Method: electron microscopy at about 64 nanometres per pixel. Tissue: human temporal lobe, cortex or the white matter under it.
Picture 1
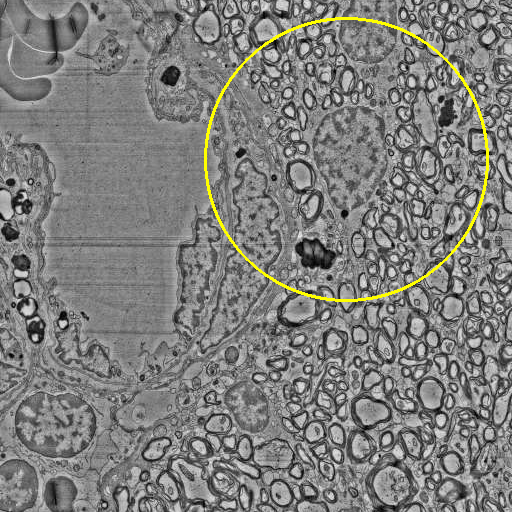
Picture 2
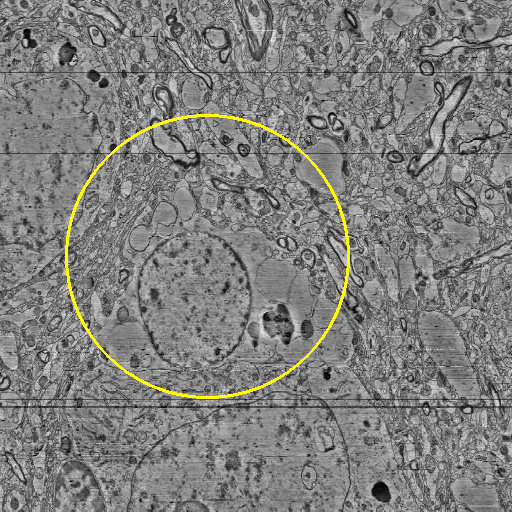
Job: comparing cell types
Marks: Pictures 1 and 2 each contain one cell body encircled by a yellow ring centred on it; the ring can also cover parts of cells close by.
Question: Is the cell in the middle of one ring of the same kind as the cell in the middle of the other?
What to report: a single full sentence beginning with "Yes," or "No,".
No, the cell at the ring centre in Picture 1 and its partner in Picture 2 are of two kinds.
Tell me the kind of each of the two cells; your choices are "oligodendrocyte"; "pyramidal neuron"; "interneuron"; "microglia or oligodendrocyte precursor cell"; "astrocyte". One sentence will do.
The ringed cell is an oligodendrocyte in the first picture and an astrocyte in the second picture.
